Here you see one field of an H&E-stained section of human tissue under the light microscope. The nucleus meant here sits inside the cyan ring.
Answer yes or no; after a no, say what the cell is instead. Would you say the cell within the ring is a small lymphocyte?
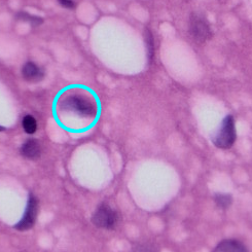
No, it is a squamous epithelial cell.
